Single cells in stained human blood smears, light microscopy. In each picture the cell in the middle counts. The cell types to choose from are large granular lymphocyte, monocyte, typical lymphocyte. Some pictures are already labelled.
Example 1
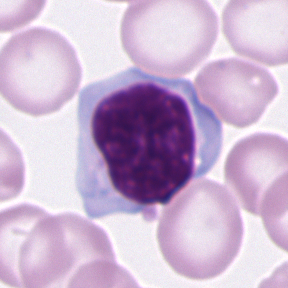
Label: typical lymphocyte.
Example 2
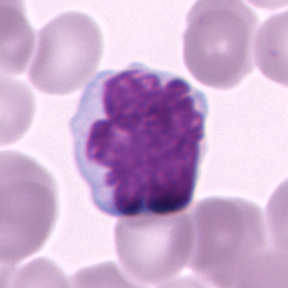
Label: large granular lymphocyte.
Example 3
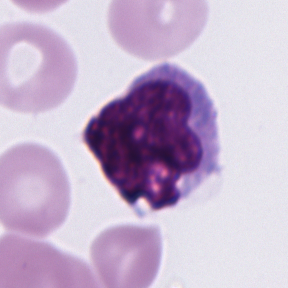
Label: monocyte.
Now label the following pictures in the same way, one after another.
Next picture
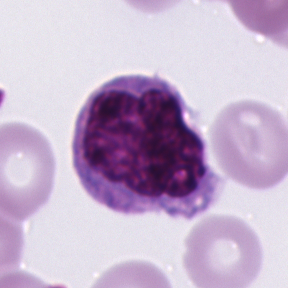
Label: monocyte.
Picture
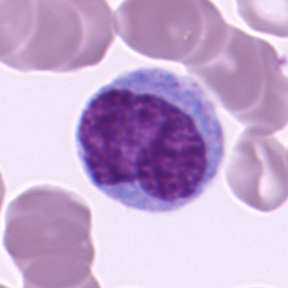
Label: monocyte.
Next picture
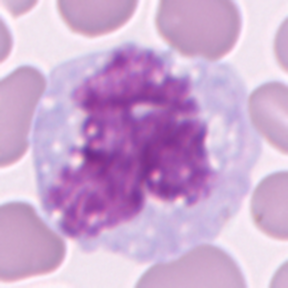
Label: monocyte.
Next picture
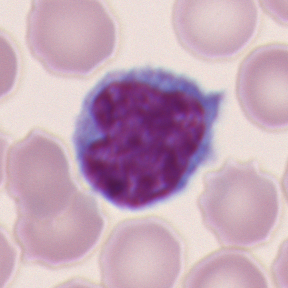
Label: typical lymphocyte.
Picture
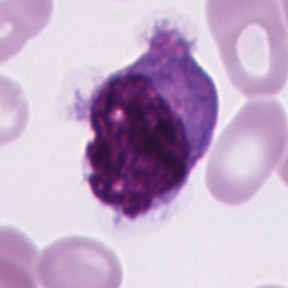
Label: monocyte.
